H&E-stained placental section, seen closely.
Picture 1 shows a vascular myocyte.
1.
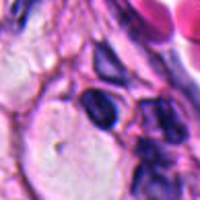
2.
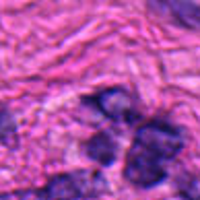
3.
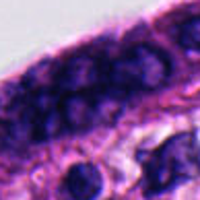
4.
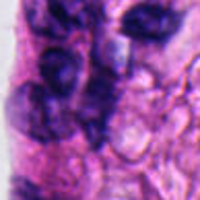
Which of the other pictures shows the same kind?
Picture 2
